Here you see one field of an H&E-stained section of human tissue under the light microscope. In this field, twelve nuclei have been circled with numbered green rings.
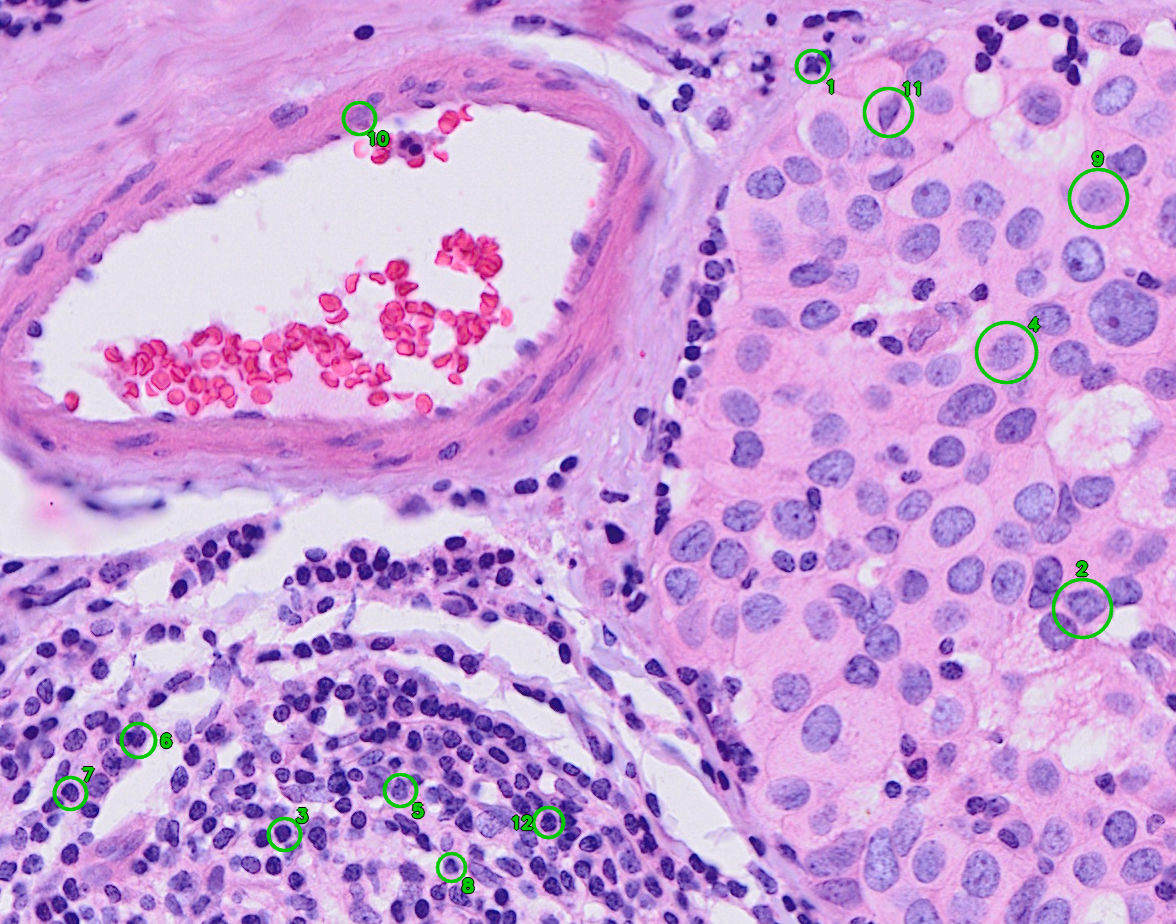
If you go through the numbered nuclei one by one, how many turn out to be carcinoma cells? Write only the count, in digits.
4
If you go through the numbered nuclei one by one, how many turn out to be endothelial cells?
1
